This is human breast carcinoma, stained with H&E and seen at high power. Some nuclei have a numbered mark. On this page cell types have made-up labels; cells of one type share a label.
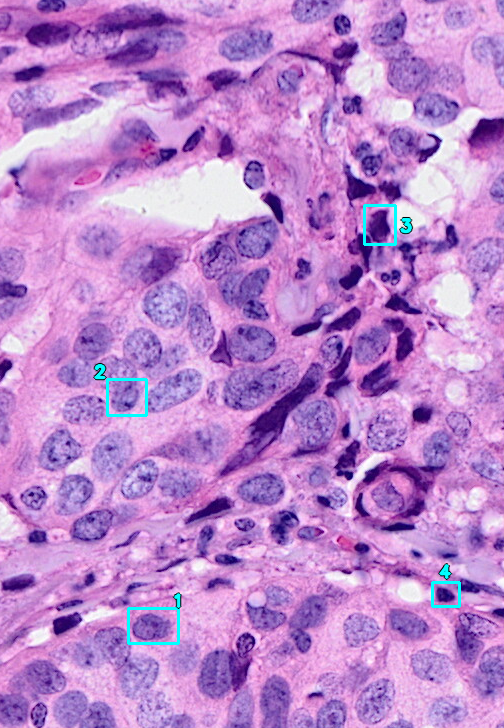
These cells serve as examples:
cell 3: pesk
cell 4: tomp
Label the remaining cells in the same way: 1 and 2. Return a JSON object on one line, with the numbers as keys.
{"1": "pesk", "2": "pesk"}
